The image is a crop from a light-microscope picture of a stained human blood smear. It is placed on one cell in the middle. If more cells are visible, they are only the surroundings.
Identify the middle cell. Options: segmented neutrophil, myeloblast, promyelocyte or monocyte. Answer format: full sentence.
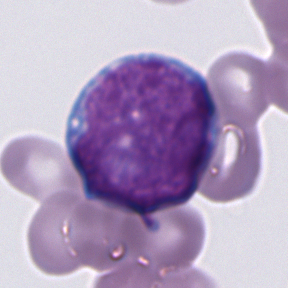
Framed in the middle of the crop is a myeloblast.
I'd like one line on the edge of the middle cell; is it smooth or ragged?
The outline of this cell is not smooth but ragged or drawn out into projections.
